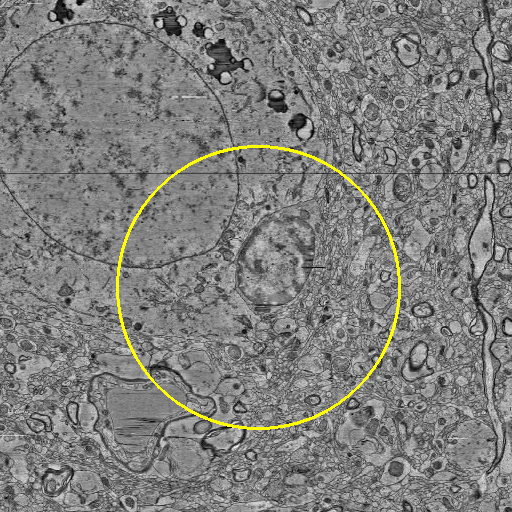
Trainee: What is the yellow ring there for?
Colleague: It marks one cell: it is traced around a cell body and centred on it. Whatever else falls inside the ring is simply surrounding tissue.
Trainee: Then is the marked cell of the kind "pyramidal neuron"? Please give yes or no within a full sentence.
No, the marked cell at the centre of the yellow ring is of a different kind.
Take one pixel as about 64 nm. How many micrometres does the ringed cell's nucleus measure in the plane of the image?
In this plane, the nucleus is roughly 6 by 5 micrometres.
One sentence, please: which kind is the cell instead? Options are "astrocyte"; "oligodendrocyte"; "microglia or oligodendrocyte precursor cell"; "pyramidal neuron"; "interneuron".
Instead, the ring surrounds an oligodendrocyte in this picture.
